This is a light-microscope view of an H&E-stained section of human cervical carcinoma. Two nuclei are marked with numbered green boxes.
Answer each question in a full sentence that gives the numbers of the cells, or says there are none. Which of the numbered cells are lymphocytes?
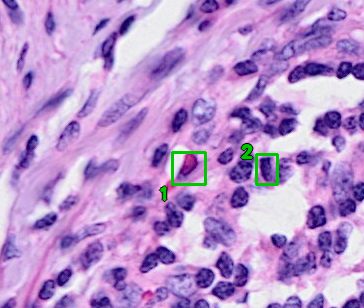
Cell 2 is a lymphocyte, and it is the only numbered cell that is.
